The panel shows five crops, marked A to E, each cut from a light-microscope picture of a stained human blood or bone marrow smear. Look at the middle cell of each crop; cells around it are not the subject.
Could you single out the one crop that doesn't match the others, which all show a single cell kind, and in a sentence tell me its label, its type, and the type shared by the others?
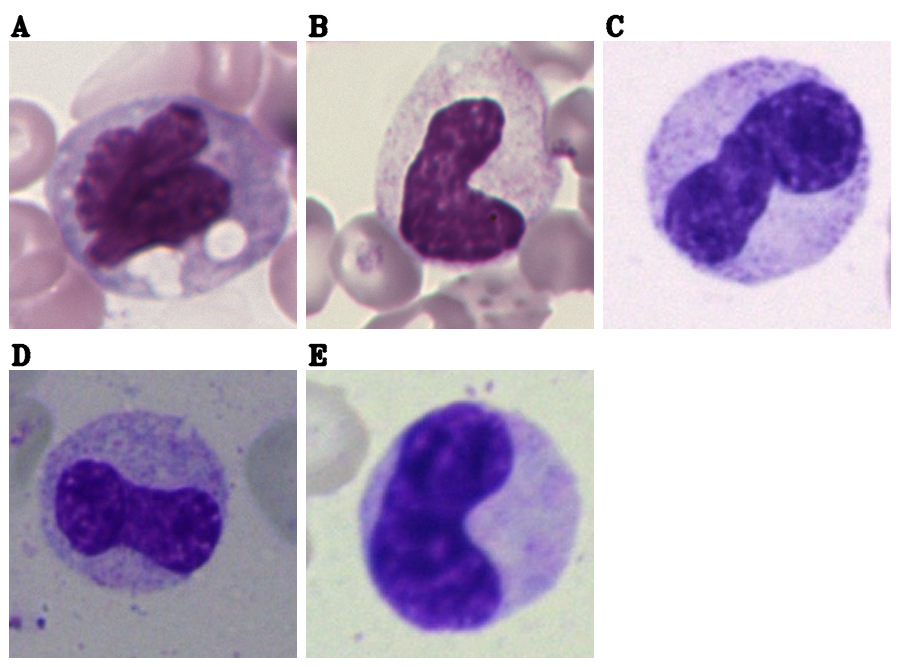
All of the other crops show band neutrophils; crop A, by contrast, is a monocyte.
